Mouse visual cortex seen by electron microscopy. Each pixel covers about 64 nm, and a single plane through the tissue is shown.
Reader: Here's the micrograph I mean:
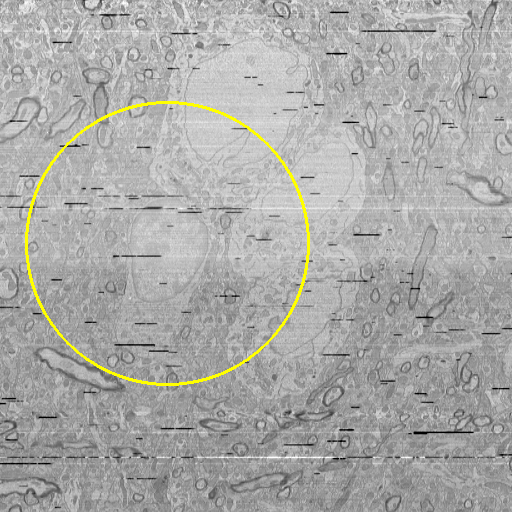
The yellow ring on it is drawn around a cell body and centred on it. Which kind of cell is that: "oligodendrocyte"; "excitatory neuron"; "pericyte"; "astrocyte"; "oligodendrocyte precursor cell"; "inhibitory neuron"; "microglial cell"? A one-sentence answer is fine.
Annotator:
The ring is centred on an oligodendrocyte.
